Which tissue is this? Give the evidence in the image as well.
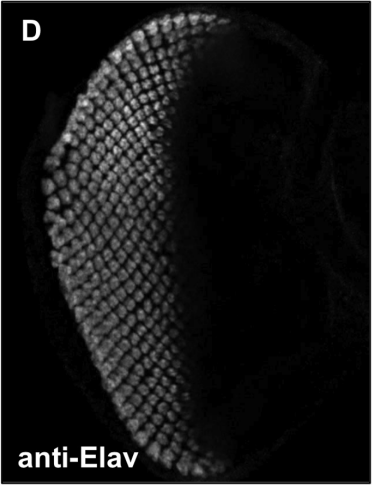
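Regularly spaced bright clusters of nuclei arranged in rows fill one half of an oval epithelial sheet. The clusters end at a sharp straight front, beyond which the tissue is unlabelled. Cluster spacing forms a lattice typical of developing ommatidia. On this evidence: larval eye imaginal disc.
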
